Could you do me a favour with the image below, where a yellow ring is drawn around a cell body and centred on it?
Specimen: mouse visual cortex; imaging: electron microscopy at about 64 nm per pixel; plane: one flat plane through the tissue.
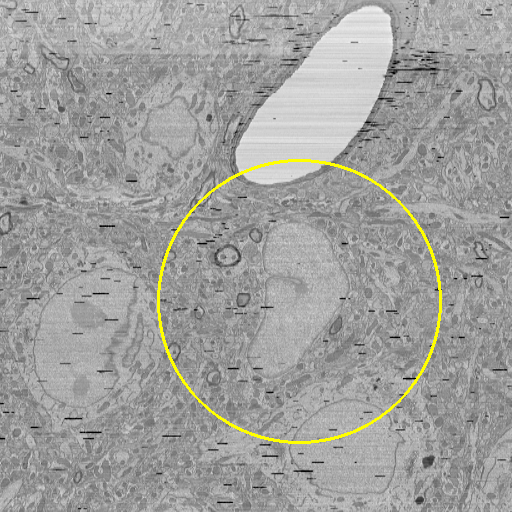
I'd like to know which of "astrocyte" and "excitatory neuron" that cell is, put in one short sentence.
The cell at the ring's centre is an astrocyte.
